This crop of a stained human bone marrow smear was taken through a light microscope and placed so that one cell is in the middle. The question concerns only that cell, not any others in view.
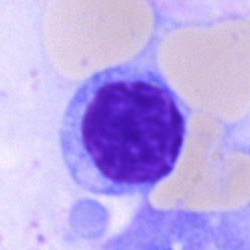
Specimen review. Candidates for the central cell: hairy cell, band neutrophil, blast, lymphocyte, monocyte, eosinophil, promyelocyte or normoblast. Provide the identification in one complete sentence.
The cell at the central position in this crop is a lymphocyte.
